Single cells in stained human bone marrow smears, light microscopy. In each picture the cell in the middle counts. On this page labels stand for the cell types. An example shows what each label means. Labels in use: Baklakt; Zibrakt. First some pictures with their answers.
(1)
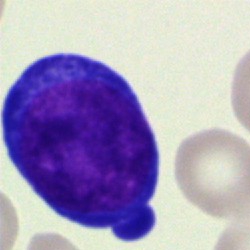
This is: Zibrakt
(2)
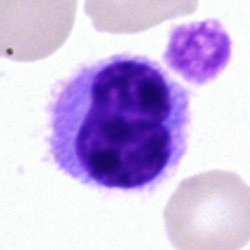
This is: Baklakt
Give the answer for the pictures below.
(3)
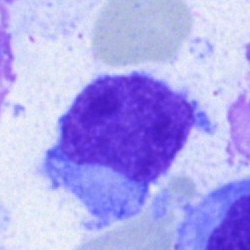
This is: Baklakt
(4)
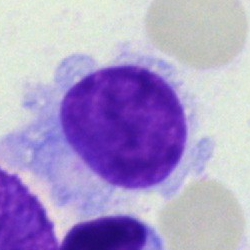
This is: Baklakt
